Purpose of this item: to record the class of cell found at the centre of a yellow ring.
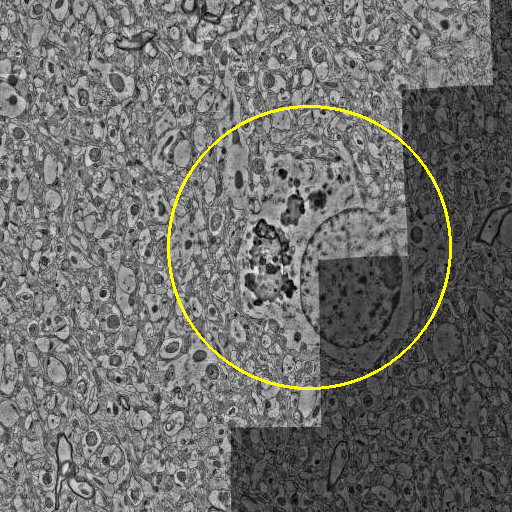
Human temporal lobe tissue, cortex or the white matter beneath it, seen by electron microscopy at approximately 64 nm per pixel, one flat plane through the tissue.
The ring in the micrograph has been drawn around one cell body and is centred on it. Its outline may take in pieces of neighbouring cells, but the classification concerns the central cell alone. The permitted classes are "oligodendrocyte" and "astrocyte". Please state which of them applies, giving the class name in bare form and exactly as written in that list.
astrocyte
